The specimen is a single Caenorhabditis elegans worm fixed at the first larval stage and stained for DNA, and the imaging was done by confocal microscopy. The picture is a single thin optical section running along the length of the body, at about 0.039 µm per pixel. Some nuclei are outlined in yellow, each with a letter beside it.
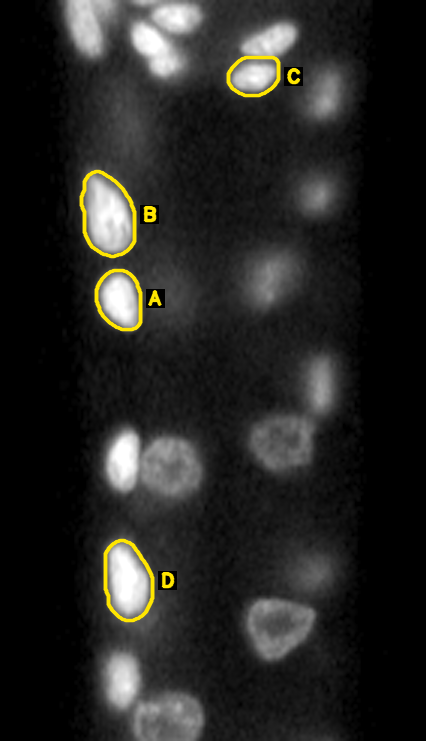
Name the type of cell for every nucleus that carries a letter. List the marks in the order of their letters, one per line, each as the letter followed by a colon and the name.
A: neuron
B: neuron
C: valve cell of the gut
D: neuron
